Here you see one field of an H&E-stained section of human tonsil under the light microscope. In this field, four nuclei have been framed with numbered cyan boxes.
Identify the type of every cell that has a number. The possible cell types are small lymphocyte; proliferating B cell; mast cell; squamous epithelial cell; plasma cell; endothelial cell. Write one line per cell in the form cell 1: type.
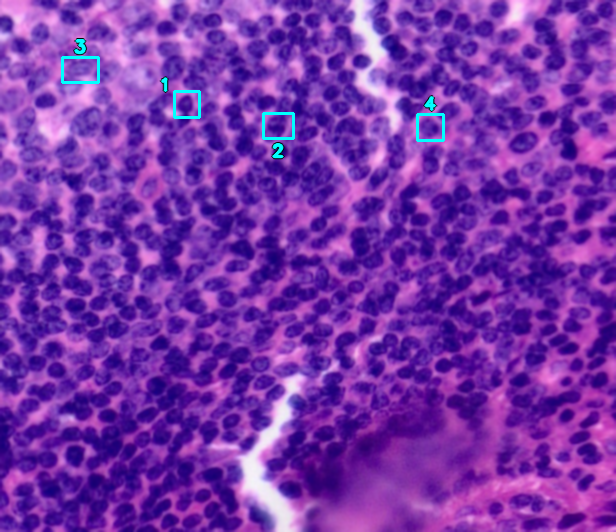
cell 1: small lymphocyte
cell 2: small lymphocyte
cell 3: proliferating B cell
cell 4: small lymphocyte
